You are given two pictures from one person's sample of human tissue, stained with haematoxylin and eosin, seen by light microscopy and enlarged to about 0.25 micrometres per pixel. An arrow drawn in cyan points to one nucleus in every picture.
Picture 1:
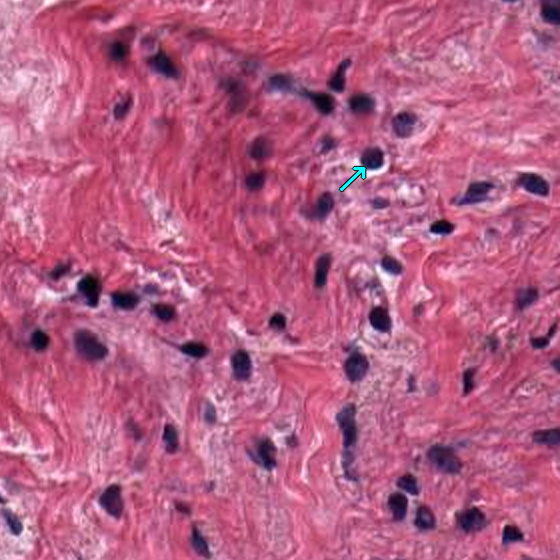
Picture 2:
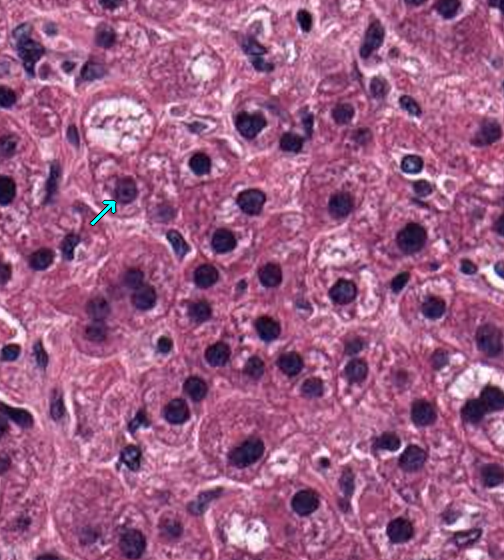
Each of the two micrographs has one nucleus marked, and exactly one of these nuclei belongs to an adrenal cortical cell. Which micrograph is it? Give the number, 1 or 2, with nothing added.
2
